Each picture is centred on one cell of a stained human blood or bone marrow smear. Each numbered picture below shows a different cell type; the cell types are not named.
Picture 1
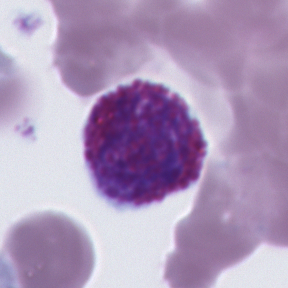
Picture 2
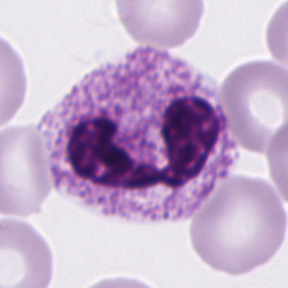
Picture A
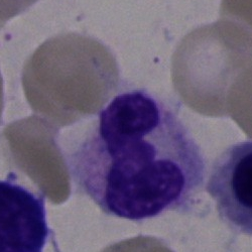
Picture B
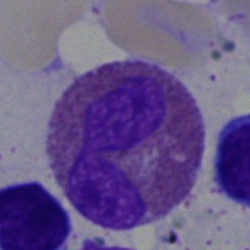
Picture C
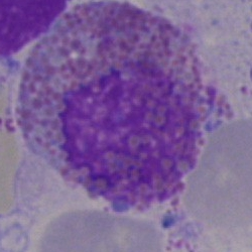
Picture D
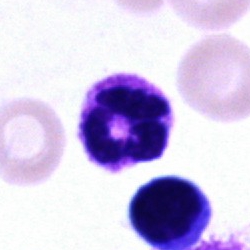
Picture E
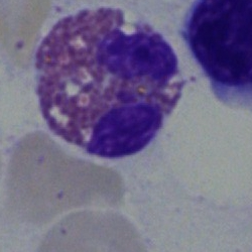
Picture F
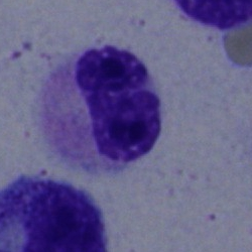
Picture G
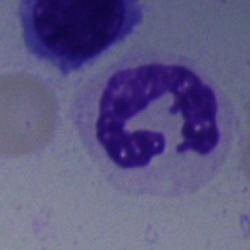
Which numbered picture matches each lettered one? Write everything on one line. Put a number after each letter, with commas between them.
A 2, B 1, C 1, D 2, E 1, F 2, G 2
